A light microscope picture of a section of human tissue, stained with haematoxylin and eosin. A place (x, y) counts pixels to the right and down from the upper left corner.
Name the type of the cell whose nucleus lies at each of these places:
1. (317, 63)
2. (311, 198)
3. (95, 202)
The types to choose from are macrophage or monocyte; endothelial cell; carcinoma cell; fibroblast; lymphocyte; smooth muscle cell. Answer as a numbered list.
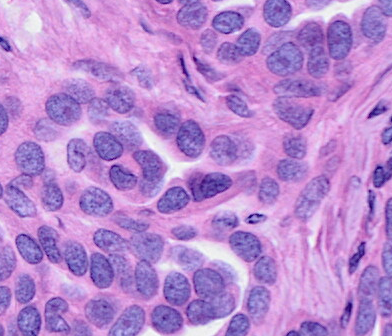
1. carcinoma cell
2. fibroblast
3. carcinoma cell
